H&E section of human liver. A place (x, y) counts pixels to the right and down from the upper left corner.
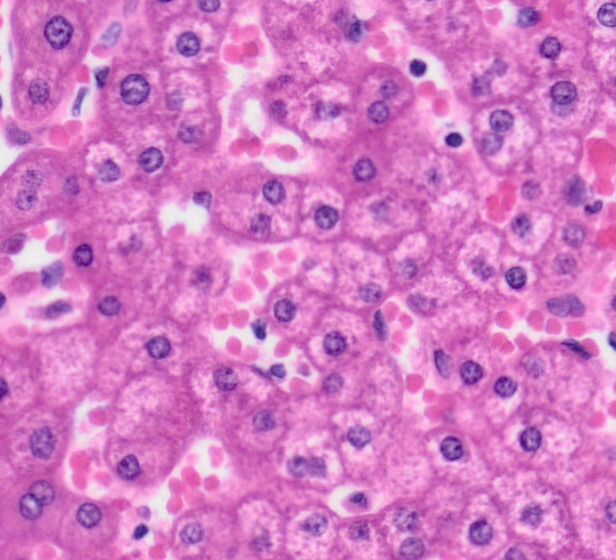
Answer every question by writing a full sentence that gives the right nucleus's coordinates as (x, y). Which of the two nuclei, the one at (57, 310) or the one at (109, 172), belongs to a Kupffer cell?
Housed in a Kupffer cell is the nucleus at (57, 310), not the other one.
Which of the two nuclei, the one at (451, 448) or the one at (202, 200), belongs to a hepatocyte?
Among the two nuclei, the one found at (451, 448) belongs to a hepatocyte.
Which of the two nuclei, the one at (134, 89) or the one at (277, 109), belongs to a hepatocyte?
The nucleus at (134, 89) is the member of the pair belonging to a hepatocyte.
